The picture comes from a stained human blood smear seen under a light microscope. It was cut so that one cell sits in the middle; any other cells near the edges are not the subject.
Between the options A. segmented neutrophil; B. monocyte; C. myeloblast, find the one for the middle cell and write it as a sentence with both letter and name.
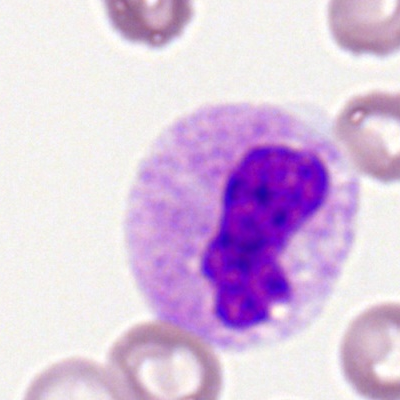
The correct option is A, as the central cell is a segmented neutrophil.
